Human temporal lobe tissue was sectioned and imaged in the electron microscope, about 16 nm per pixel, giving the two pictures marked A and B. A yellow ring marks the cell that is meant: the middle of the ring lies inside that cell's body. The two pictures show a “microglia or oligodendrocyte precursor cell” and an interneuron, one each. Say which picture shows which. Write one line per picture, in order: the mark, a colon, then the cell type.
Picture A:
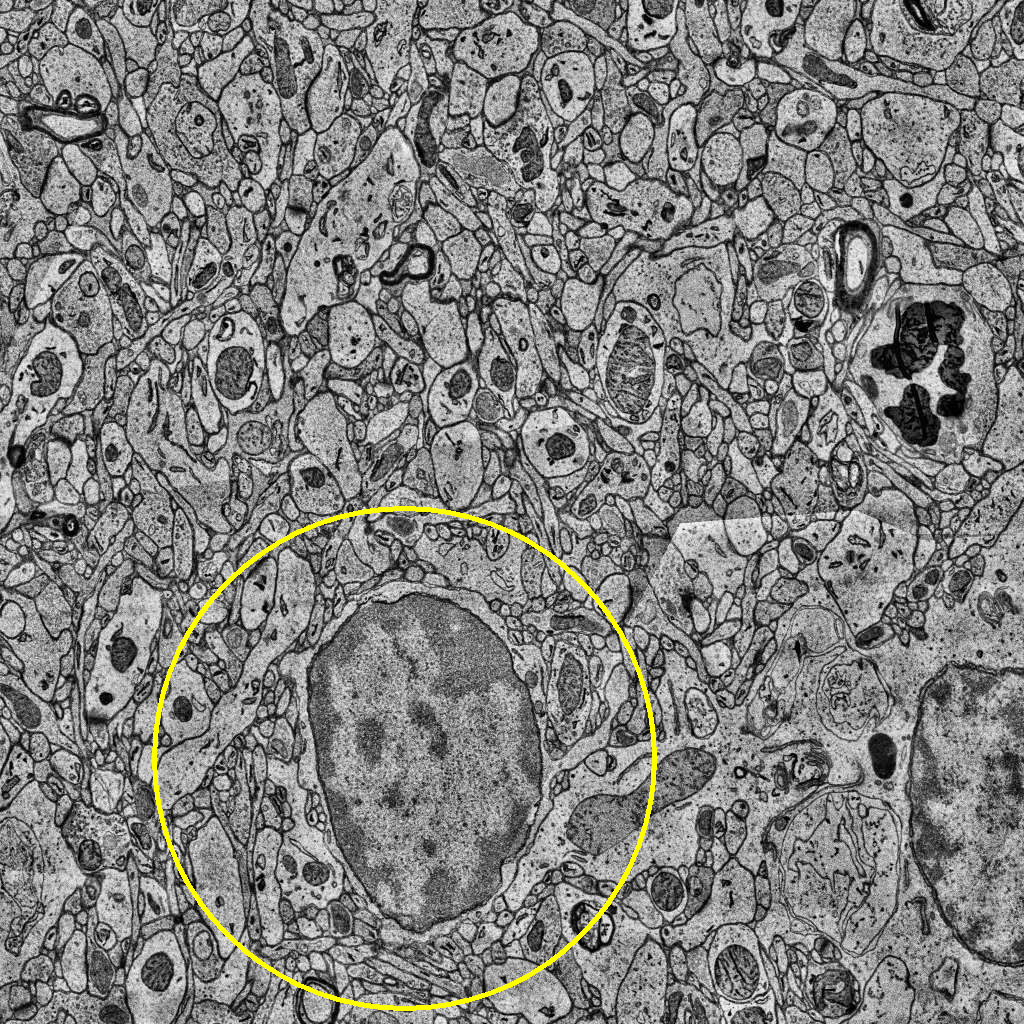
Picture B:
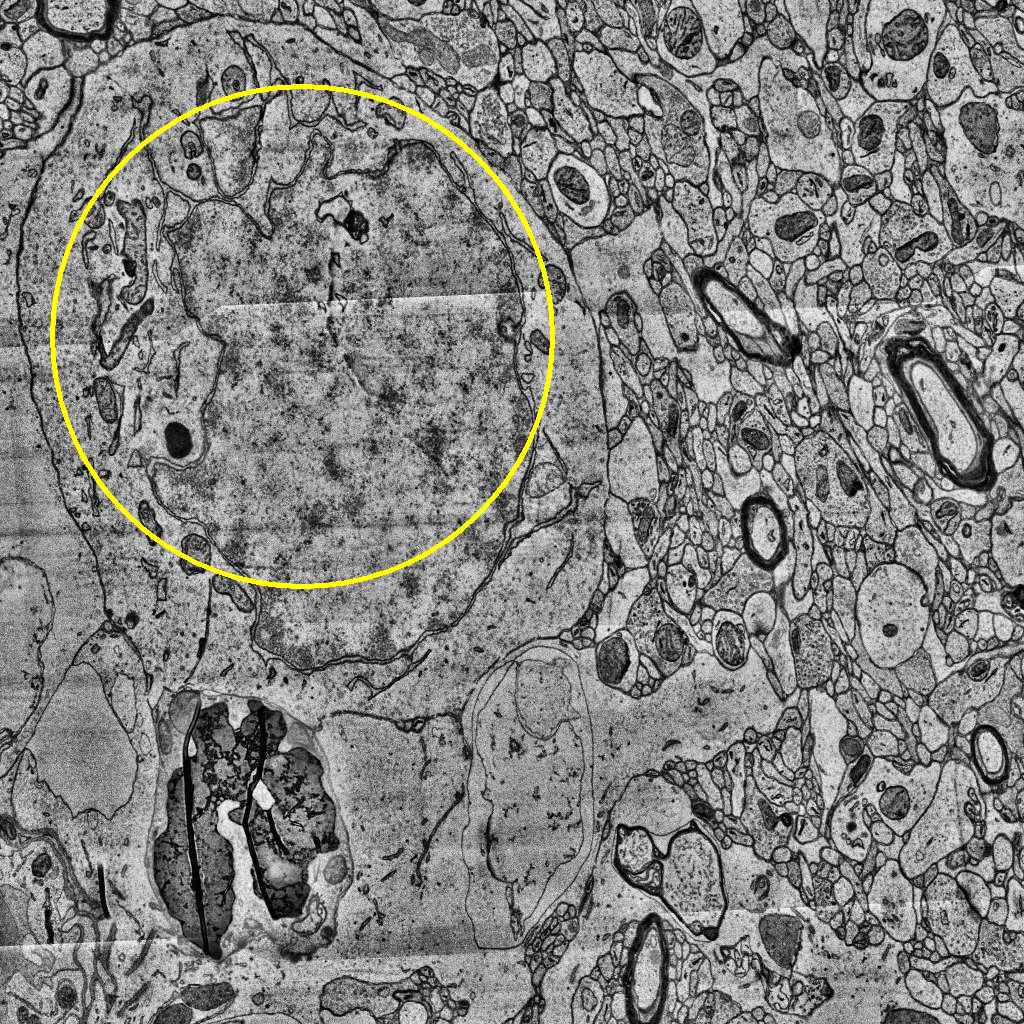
A: microglia or oligodendrocyte precursor cell
B: interneuron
